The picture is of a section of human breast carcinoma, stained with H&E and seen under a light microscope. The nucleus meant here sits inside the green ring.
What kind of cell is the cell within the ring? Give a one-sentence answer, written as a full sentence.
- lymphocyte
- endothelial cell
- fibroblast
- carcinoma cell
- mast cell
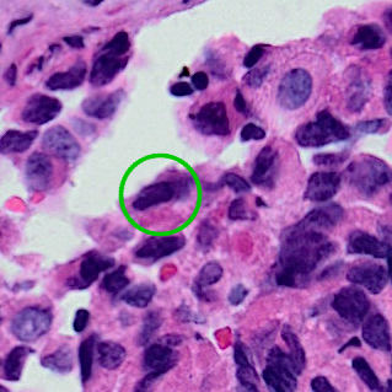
In this section, the cell within the ring is a carcinoma cell.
